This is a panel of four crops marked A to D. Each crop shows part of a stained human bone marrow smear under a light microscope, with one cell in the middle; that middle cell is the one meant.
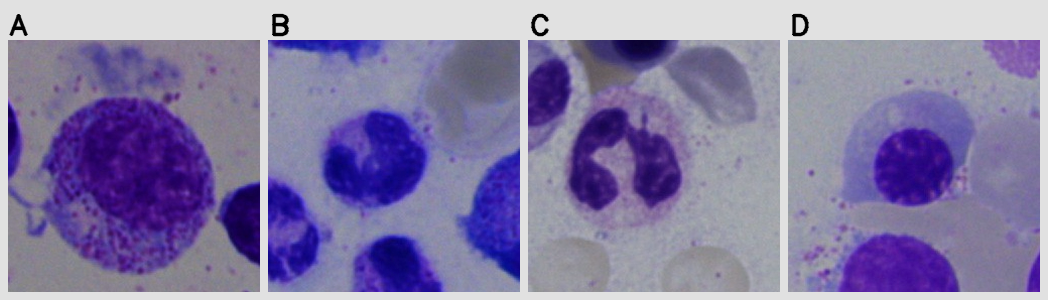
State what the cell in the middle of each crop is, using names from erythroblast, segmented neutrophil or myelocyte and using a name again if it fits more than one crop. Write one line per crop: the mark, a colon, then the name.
A: myelocyte
B: segmented neutrophil
C: segmented neutrophil
D: erythroblast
